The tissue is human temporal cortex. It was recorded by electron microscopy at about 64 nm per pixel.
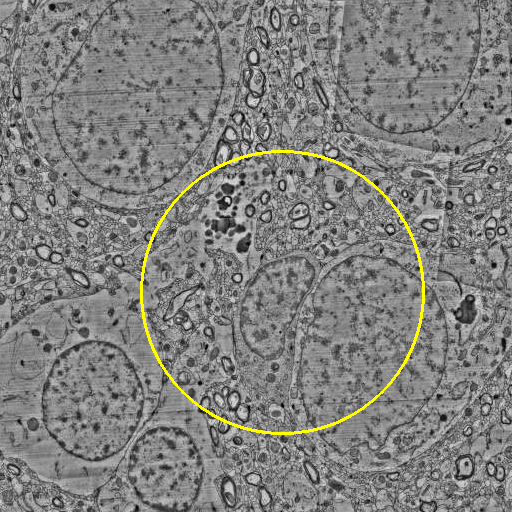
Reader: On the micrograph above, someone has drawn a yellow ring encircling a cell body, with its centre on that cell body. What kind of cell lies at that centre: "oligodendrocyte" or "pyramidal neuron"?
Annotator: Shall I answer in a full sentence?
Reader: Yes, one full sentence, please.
Here an oligodendrocyte sits at the centre of the yellow ring drawn on the micrograph.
